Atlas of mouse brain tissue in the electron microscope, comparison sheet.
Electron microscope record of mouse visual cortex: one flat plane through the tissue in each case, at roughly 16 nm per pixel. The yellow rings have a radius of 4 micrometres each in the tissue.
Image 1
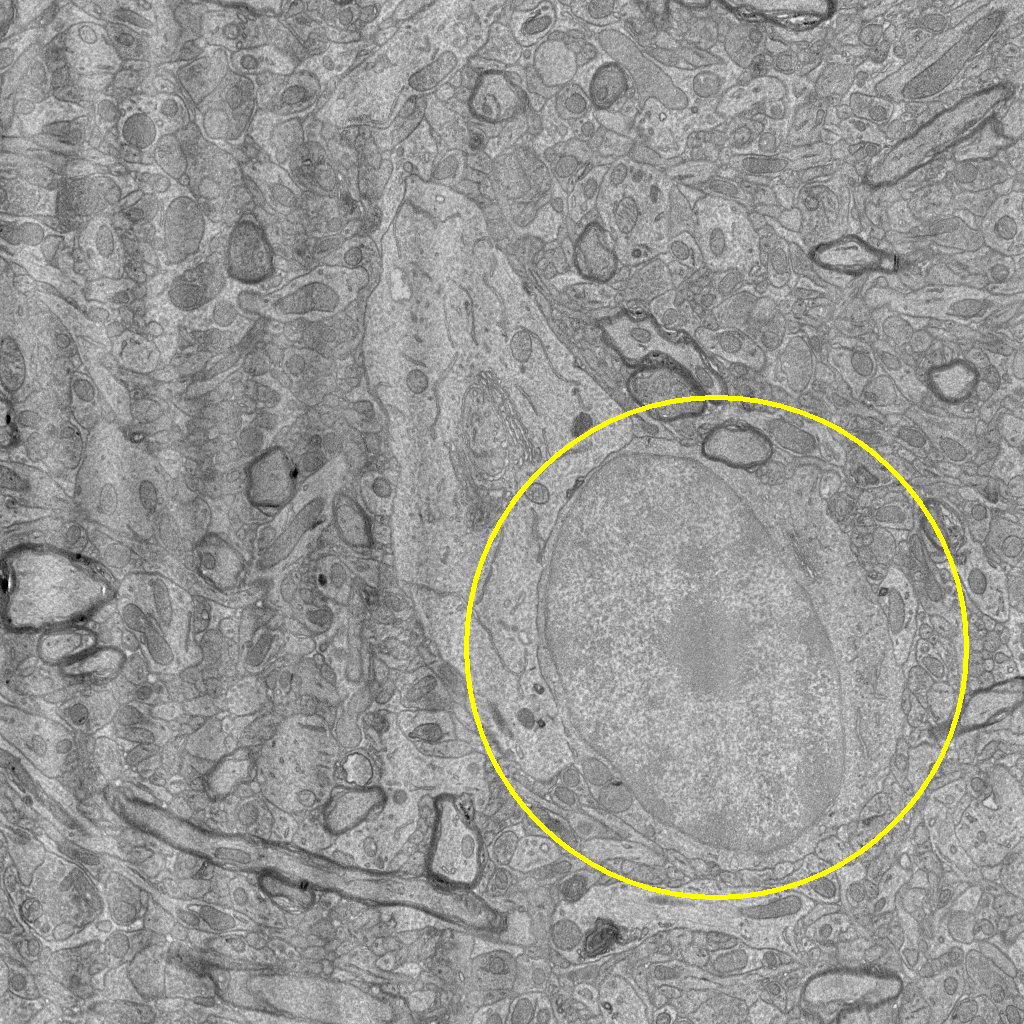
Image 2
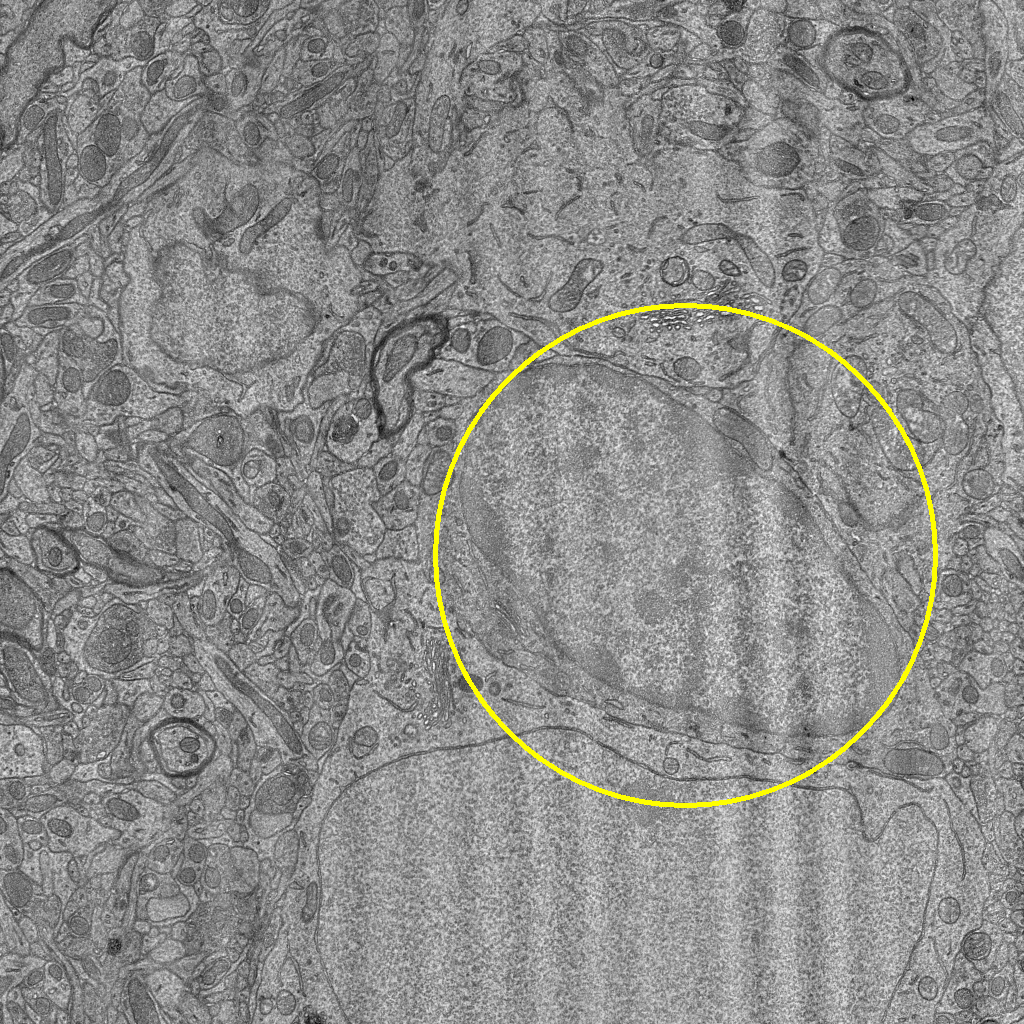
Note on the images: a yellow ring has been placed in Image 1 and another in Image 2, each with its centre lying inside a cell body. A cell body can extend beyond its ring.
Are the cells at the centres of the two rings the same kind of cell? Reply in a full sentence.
Yes, both cells are of the same kind.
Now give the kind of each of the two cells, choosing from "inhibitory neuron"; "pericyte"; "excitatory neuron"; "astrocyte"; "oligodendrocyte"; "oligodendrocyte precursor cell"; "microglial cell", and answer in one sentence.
Both rings mark an oligodendrocyte, one in each picture.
